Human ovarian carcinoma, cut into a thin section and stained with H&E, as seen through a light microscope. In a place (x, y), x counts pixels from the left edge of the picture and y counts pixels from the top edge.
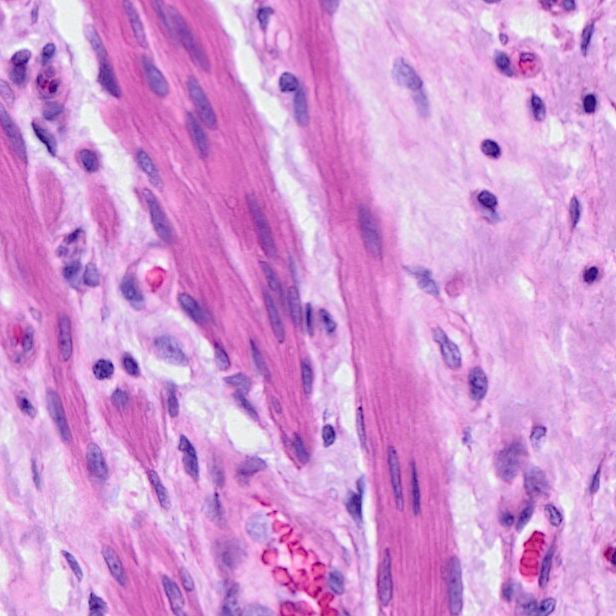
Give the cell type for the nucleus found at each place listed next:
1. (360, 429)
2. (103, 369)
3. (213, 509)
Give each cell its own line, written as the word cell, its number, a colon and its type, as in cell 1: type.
cell 1: smooth muscle cell
cell 2: lymphocyte
cell 3: fibroblast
